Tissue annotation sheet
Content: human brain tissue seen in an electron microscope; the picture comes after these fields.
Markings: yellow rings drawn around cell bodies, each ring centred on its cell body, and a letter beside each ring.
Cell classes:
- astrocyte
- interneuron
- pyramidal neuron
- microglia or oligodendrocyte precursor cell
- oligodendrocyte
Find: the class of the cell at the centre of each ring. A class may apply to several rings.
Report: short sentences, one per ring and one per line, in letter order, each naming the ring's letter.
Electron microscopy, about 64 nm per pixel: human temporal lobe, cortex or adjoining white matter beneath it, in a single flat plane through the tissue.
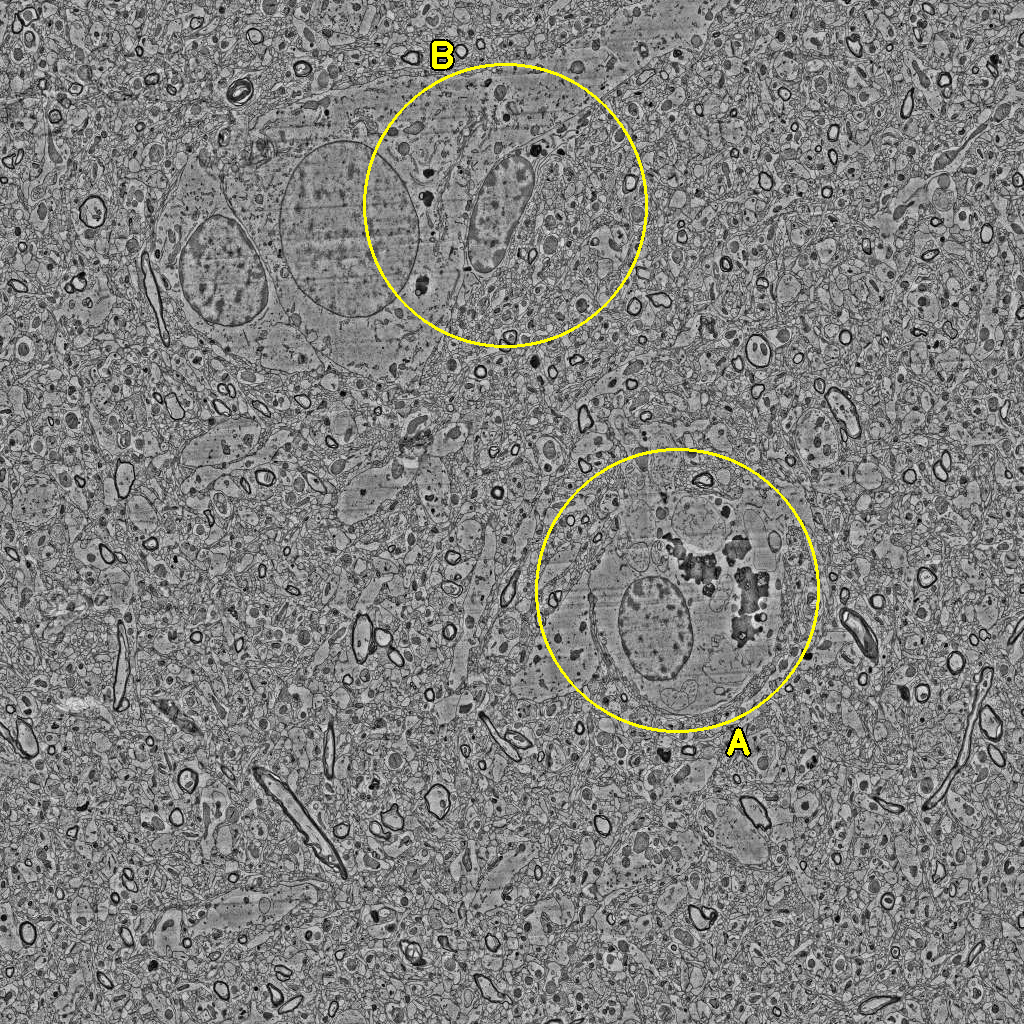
Ring A holds an astrocyte at its centre.
Ring B holds a microglial cell or oligodendrocyte precursor cell at its centre.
